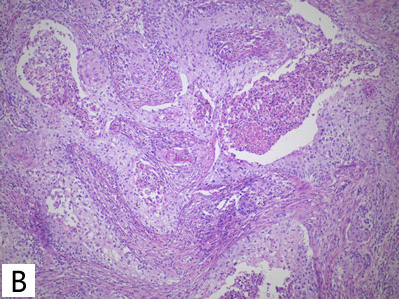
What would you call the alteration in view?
keratinized squamous cell carcinoma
